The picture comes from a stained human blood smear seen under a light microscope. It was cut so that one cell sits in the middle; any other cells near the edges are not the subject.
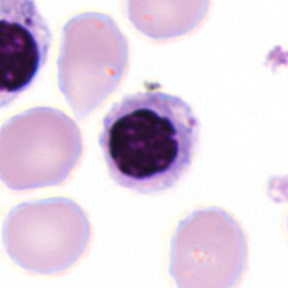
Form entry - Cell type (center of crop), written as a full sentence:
Regarding the central cell, it is a normoblast.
